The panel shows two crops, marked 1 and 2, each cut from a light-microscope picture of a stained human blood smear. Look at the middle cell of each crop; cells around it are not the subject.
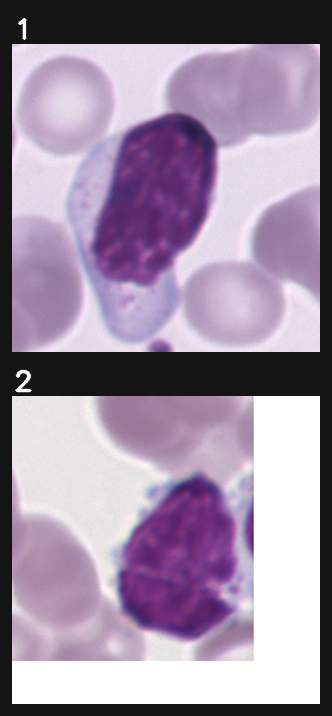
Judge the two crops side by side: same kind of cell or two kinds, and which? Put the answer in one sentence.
Yes, as an answer for this item, both crops show large granular lymphocytes.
